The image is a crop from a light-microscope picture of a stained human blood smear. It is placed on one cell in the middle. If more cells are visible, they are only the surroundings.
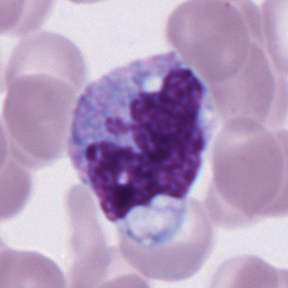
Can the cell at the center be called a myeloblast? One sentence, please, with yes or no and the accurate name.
No, the cell sitting in the middle is a monocyte, and it is not a myeloblast.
